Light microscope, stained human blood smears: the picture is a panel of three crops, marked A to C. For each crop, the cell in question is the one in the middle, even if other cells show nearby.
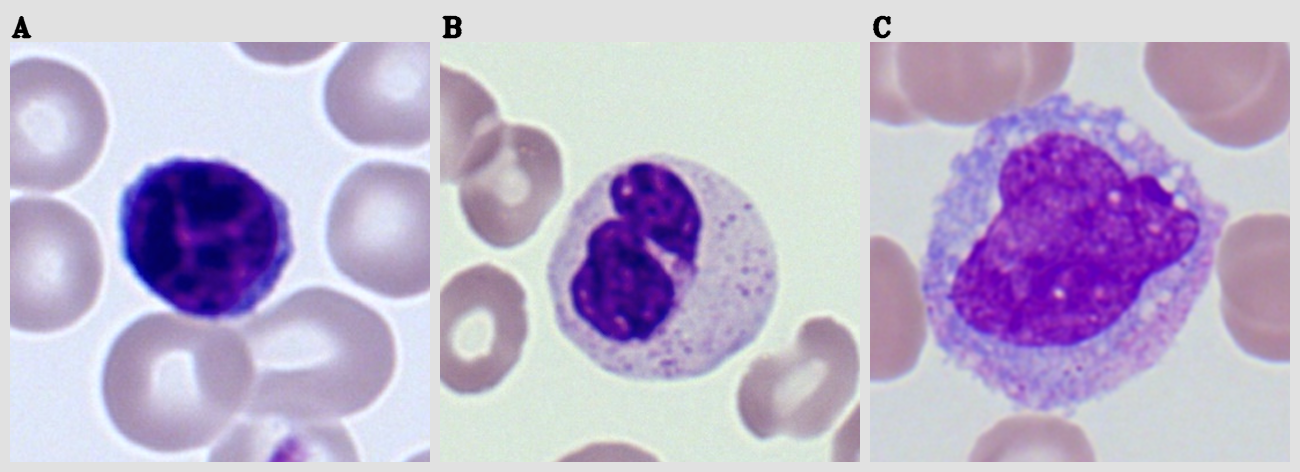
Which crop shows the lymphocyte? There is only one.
A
